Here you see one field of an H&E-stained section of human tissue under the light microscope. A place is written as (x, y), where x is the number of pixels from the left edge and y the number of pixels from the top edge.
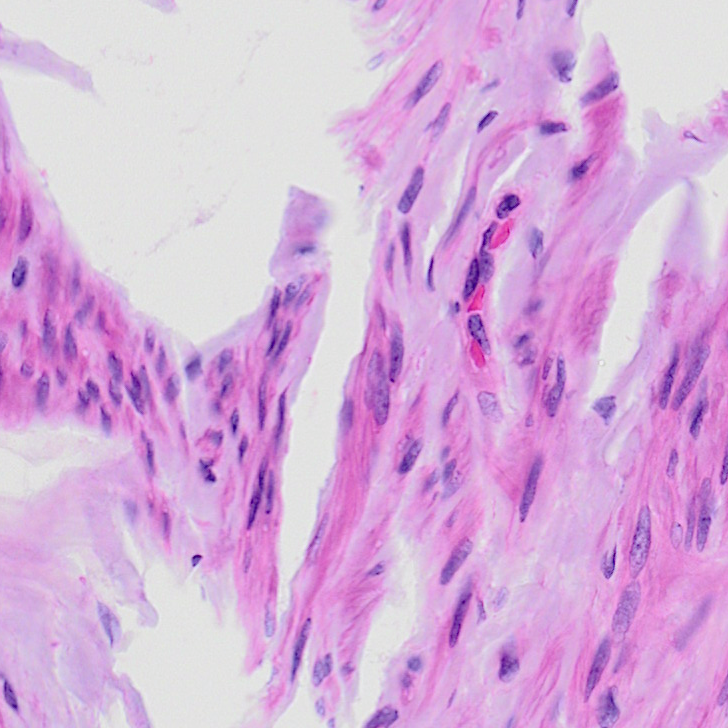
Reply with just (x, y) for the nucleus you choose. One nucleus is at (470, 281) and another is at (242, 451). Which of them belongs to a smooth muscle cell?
(242, 451)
